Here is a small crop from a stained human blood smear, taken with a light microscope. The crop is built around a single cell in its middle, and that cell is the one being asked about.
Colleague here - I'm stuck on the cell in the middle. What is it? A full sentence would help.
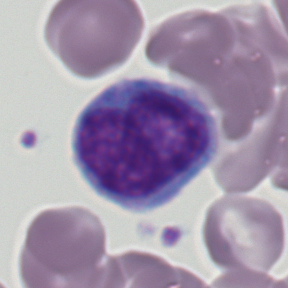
The cell nearest the centre of this crop is a monocyte.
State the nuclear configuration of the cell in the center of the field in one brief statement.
Please observe that the nucleus consists of one compact round, oval or kidney-shaped mass.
